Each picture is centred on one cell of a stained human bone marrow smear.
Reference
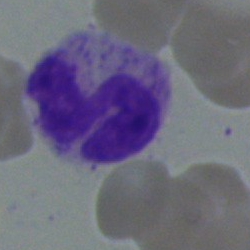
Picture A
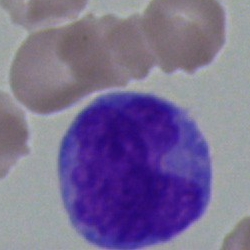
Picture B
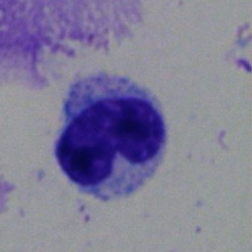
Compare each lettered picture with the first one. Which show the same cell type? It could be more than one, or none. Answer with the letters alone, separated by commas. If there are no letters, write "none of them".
B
